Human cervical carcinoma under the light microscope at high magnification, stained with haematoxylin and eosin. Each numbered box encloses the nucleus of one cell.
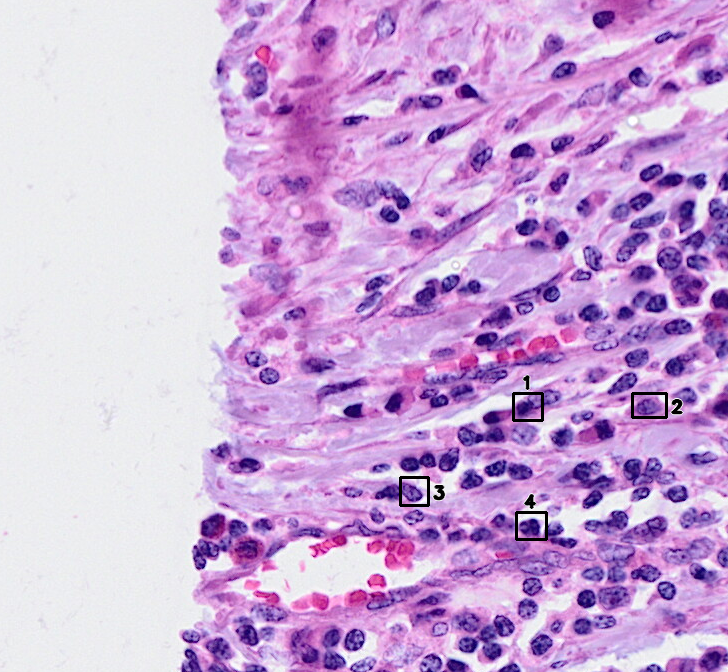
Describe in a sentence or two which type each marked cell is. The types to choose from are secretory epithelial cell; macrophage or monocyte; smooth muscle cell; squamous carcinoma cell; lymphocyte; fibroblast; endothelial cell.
Cell 1 is a lymphocyte, cell 2 is a macrophage or monocyte, cell 3 is a lymphocyte and cell 4 is a lymphocyte.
